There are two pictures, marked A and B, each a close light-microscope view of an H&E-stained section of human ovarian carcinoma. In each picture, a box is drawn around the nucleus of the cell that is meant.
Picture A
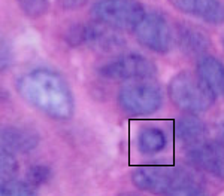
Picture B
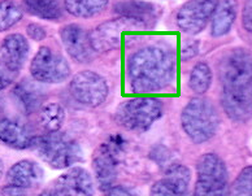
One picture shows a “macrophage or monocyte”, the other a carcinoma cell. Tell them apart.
A: macrophage or monocyte
B: carcinoma cell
